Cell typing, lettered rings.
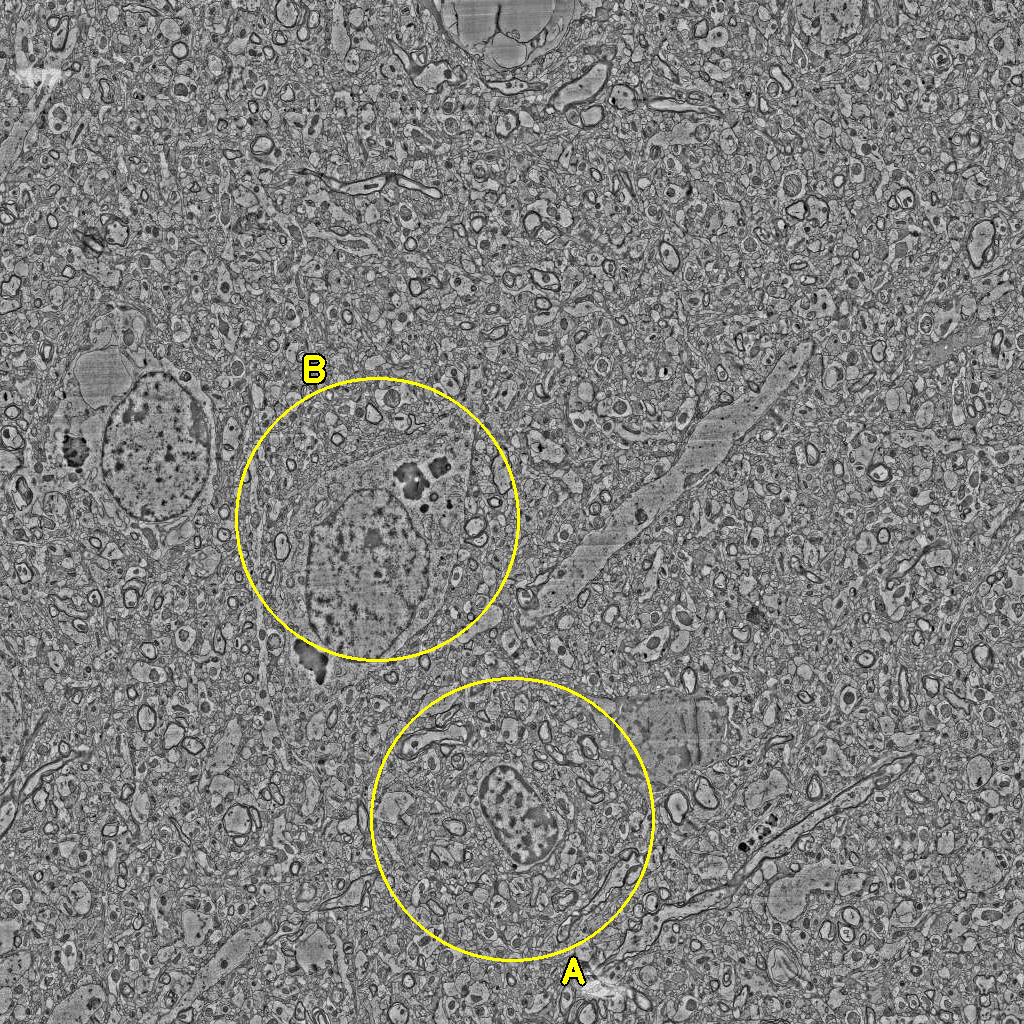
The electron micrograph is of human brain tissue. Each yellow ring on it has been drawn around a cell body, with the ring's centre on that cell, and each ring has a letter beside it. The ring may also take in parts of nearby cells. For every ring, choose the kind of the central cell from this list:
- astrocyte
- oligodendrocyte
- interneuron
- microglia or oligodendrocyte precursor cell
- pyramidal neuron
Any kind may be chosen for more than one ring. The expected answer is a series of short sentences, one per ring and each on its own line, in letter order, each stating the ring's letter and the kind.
For ring A, the centred cell is a microglial cell or oligodendrocyte precursor cell.
For ring B, the centred cell is an interneuron.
